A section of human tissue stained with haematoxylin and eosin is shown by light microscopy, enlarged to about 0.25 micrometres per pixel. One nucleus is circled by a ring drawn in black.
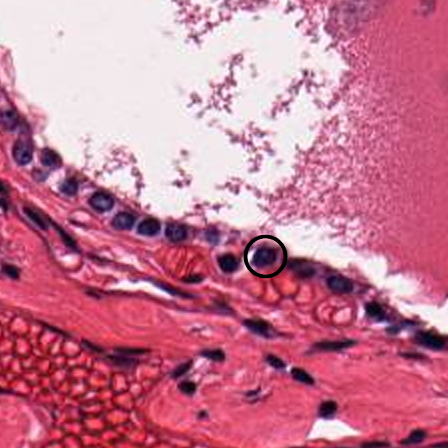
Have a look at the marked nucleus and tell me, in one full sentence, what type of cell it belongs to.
The mark falls on a nucleus belonging to a thyroid follicular cell.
